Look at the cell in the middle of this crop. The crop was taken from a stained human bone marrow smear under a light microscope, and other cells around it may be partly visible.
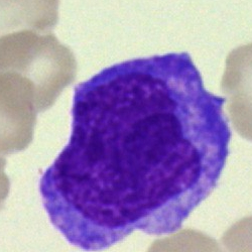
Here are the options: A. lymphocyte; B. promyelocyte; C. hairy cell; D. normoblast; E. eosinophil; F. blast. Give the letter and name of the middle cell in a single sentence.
The one cell at the centre is a blast, as correctly stated in option F.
